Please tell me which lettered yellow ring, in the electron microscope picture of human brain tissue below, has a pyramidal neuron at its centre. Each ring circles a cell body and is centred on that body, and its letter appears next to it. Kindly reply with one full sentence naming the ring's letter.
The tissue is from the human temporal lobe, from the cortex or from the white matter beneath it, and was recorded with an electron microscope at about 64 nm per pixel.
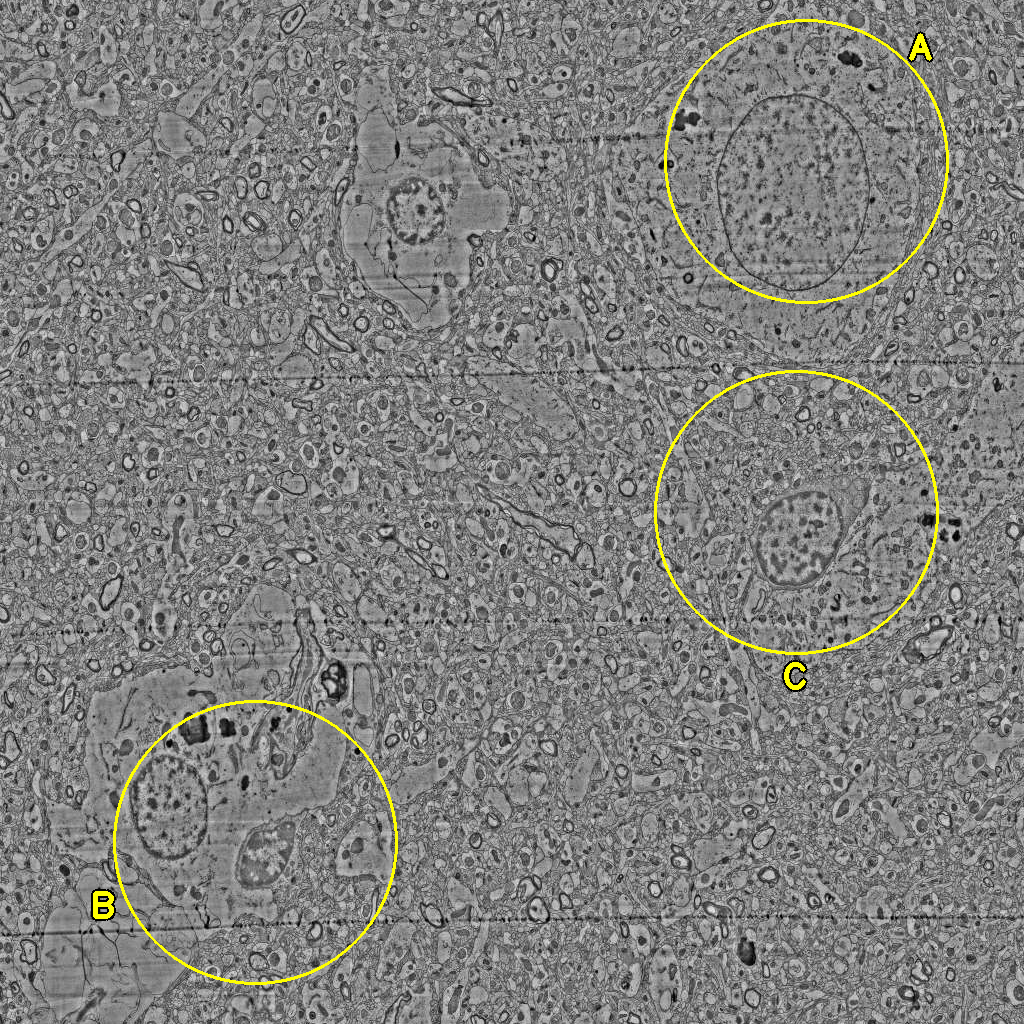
Ring A has the cell asked for at its centre.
